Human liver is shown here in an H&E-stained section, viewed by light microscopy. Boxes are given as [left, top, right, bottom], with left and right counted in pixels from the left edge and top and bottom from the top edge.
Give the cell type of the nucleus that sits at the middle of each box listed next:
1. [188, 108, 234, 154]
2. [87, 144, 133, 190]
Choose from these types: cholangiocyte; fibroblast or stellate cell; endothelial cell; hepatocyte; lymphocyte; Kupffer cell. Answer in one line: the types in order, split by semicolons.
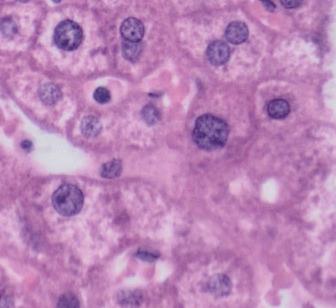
hepatocyte; endothelial cell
